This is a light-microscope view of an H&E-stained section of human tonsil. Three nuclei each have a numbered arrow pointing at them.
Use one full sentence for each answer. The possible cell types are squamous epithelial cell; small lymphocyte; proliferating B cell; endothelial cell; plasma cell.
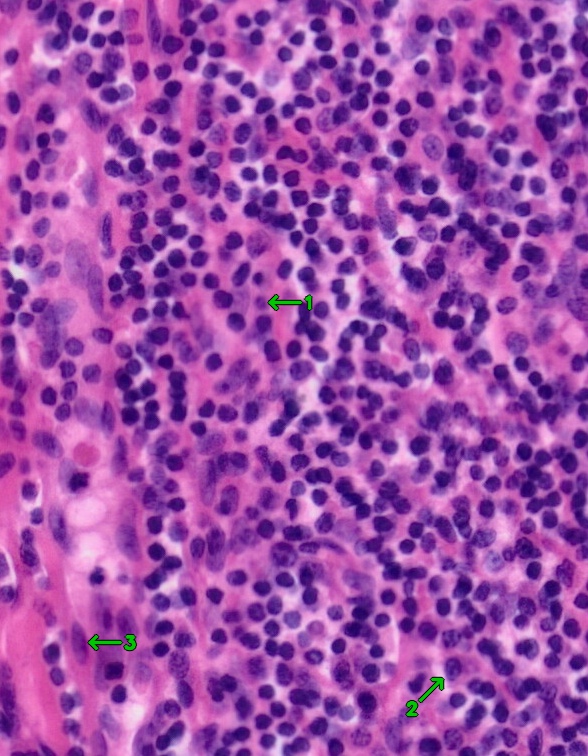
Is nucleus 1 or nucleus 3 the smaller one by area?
Nucleus 1 is the smaller one; nucleus 3 covers about 2.5 times its area.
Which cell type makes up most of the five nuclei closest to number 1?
The majority of the five nuclei closest to number 1 belong to endothelial cells.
